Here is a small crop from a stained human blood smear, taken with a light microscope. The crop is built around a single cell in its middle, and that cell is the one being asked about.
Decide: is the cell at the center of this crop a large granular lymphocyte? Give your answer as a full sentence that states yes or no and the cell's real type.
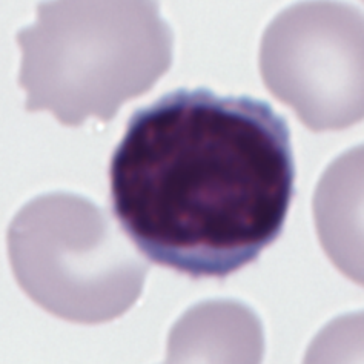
No, the middle one is a typical lymphocyte rather than a large granular lymphocyte.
